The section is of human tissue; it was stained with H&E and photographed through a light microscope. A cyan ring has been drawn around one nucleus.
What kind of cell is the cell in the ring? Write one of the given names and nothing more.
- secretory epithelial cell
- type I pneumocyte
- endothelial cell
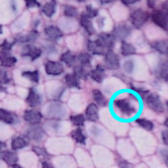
secretory epithelial cell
